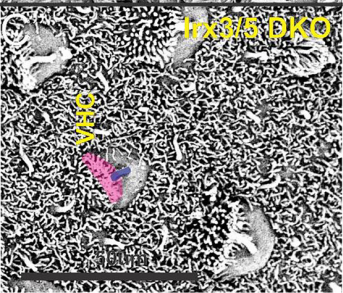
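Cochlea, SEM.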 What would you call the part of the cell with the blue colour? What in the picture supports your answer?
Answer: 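Kinocilium. A single blue-coloured process lies at one side of the pink bundle.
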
